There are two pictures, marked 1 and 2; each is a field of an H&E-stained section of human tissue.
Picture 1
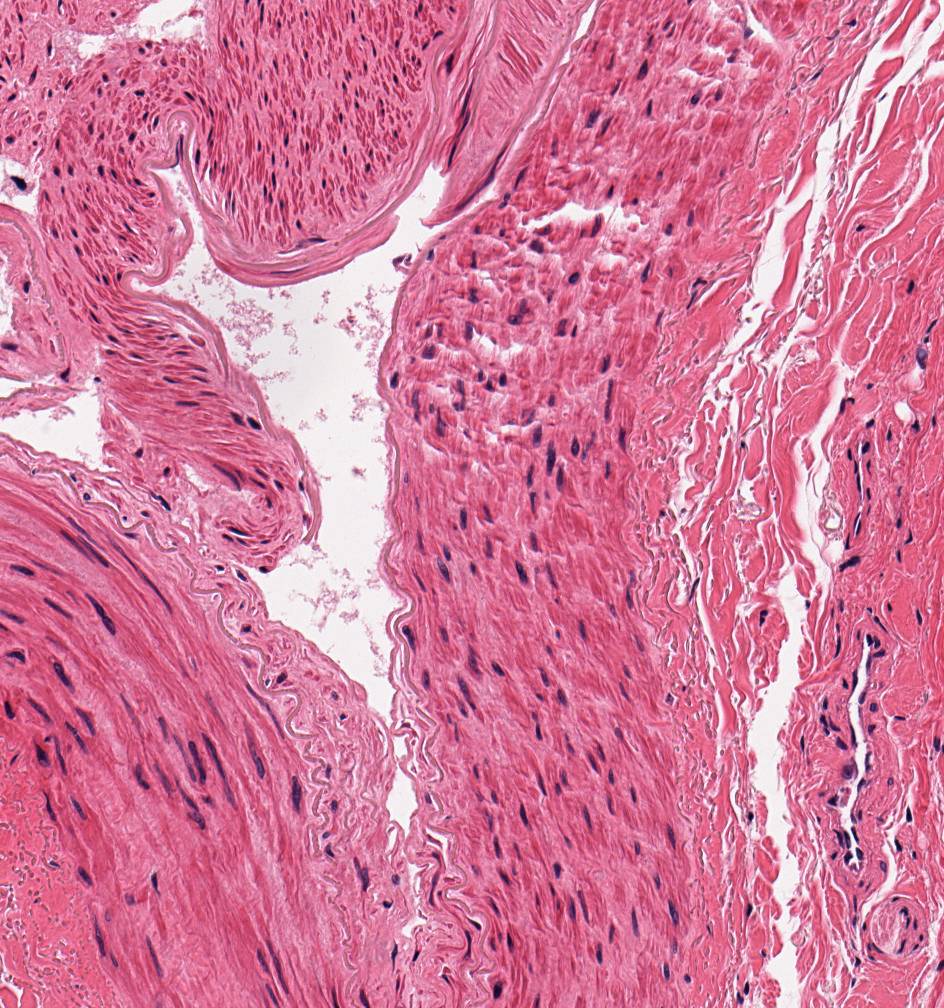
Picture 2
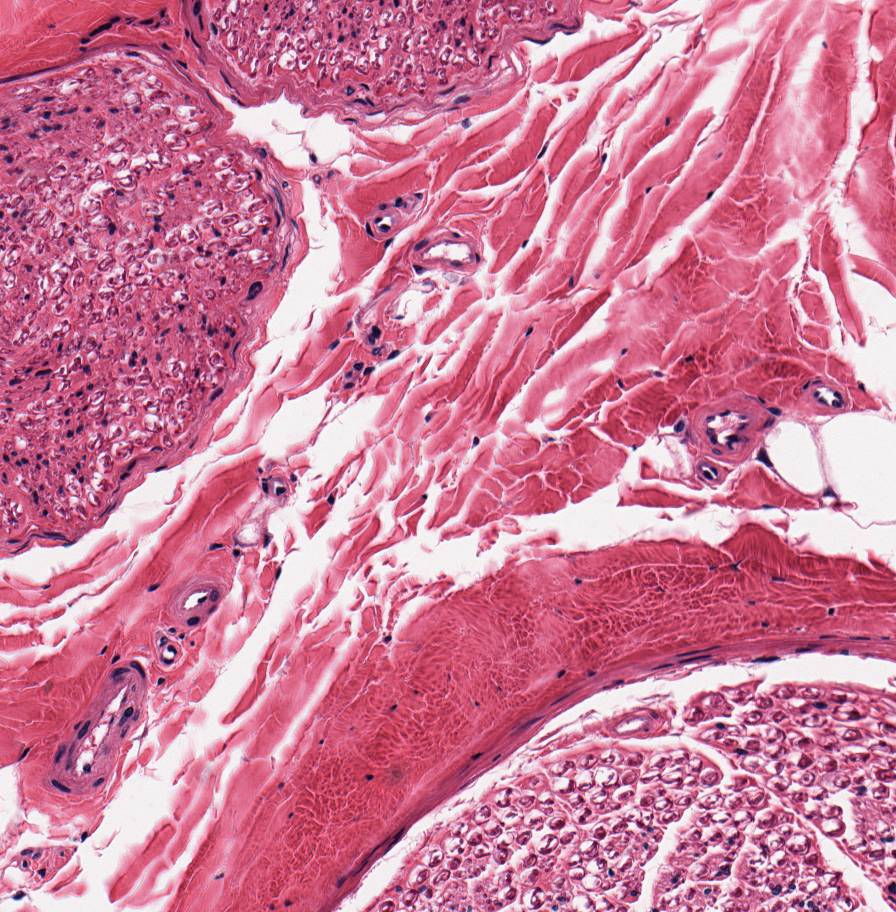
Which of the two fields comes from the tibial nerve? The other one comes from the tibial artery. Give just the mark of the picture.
2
